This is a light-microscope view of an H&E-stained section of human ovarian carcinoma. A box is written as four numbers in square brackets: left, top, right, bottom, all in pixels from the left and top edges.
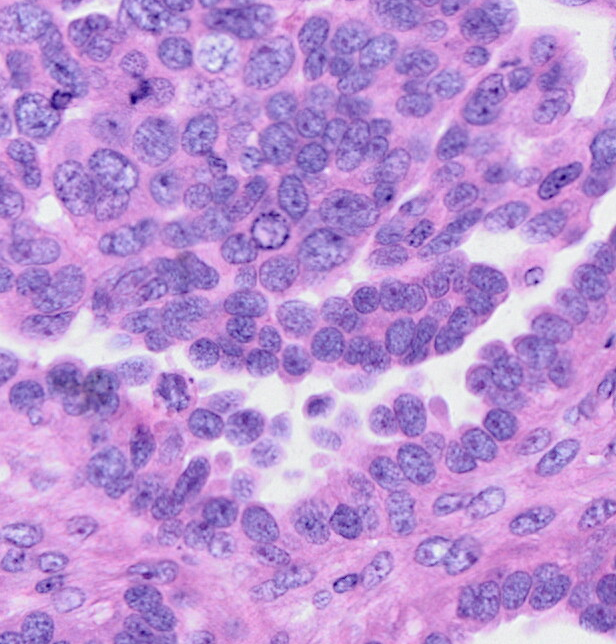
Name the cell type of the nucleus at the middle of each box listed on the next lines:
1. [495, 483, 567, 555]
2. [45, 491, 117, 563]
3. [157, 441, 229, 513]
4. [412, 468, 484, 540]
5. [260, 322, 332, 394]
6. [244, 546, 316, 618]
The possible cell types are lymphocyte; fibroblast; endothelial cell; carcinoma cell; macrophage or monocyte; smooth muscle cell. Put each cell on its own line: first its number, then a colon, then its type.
1: fibroblast
2: fibroblast
3: carcinoma cell
4: fibroblast
5: carcinoma cell
6: fibroblast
